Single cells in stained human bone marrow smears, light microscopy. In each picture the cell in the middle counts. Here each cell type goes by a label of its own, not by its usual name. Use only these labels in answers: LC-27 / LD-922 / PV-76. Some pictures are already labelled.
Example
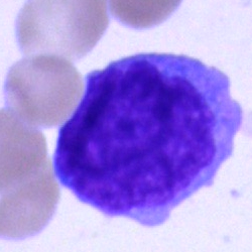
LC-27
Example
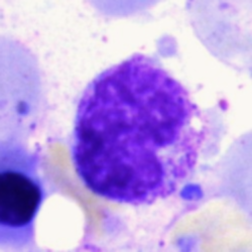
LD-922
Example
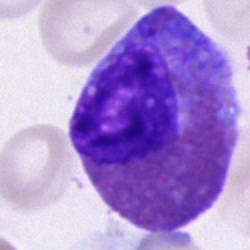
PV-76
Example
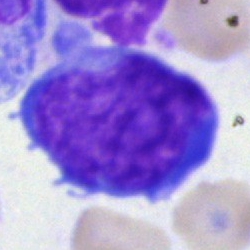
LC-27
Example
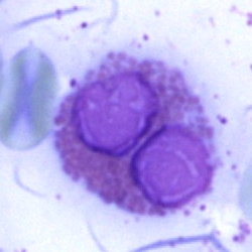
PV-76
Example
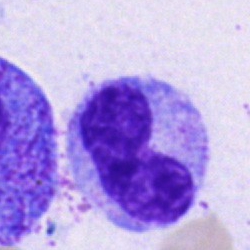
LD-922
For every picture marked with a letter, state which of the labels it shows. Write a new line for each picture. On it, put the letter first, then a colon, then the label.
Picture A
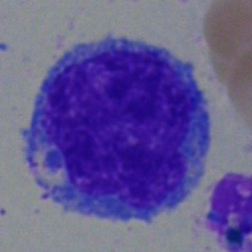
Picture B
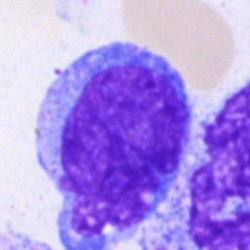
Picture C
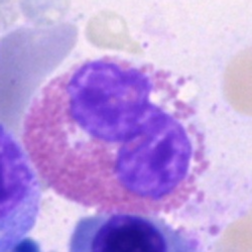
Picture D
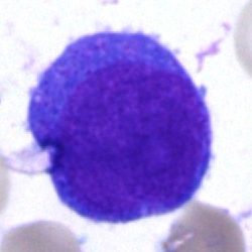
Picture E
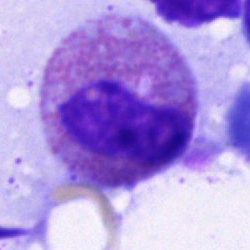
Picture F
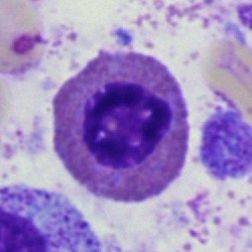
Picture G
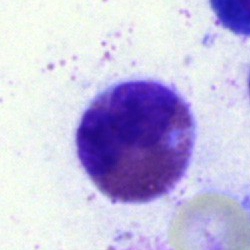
A: LC-27
B: LC-27
C: PV-76
D: LC-27
E: PV-76
F: PV-76
G: PV-76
